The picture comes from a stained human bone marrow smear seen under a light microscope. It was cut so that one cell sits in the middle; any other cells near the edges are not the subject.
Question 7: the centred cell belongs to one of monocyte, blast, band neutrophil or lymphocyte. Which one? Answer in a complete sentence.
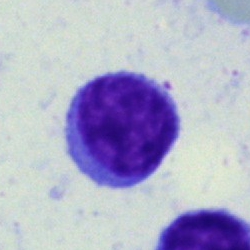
The central element of this crop is a cell, namely a lymphocyte.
